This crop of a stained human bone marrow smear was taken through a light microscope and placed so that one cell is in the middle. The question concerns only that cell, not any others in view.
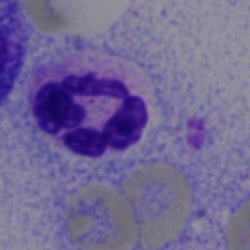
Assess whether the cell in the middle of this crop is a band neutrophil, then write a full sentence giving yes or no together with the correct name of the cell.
No, the centred cell is a segmented neutrophil, and it is not a band neutrophil.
